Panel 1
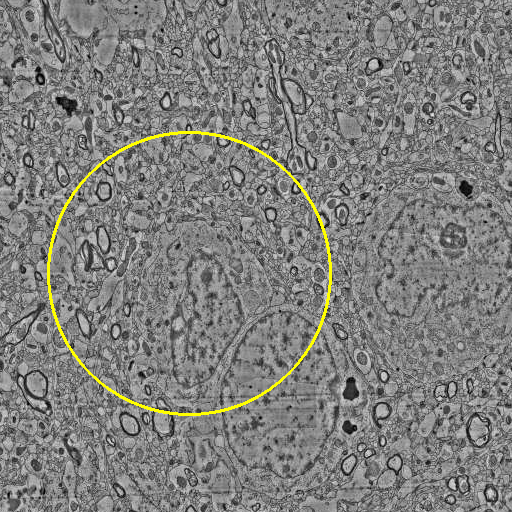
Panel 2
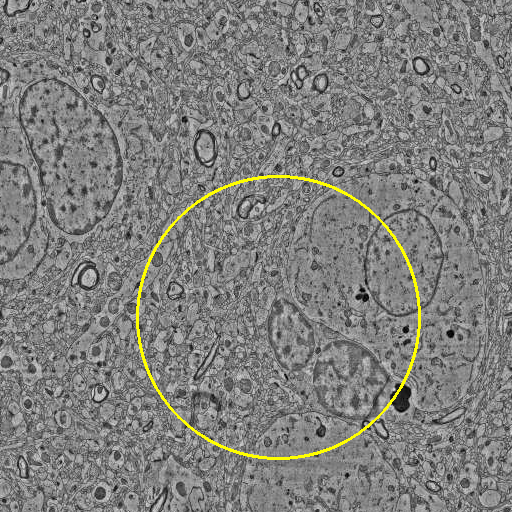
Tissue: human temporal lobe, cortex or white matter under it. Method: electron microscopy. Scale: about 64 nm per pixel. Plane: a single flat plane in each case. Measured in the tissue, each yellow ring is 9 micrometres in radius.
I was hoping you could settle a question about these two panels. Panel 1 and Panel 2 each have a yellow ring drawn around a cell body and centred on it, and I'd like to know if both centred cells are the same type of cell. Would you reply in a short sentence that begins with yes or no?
No, they are two types of cell.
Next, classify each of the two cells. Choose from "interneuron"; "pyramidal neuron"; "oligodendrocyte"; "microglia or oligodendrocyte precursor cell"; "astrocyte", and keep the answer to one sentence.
In the first picture it is an interneuron; in the second it is an oligodendrocyte.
